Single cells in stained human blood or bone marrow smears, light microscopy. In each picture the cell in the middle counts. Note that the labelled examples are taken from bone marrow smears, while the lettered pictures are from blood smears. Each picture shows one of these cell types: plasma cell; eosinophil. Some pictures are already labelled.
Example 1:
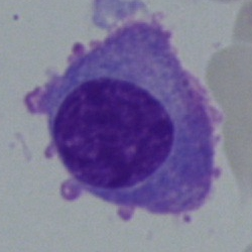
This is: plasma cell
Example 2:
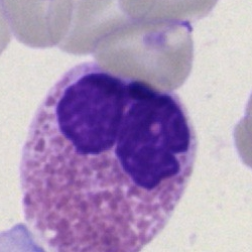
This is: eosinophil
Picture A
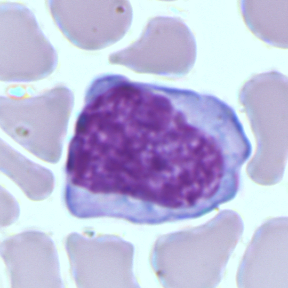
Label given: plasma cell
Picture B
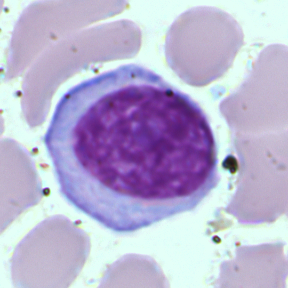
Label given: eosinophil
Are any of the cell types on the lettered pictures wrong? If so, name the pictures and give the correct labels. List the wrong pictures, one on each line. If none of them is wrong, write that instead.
B should be plasma cell, not eosinophil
